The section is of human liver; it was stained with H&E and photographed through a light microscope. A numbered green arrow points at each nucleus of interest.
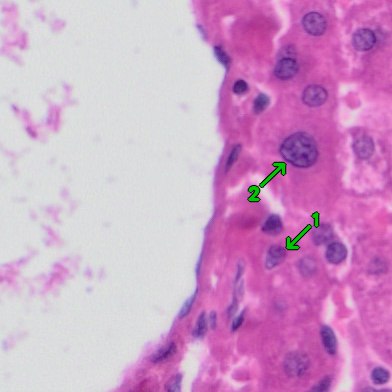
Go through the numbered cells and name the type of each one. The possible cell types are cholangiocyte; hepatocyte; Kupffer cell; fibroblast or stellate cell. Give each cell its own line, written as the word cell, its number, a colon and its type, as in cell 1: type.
cell 1: fibroblast or stellate cell
cell 2: hepatocyte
